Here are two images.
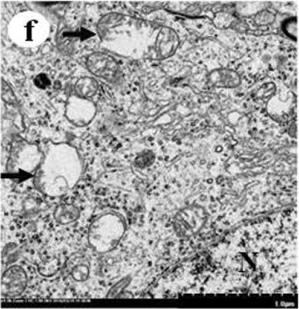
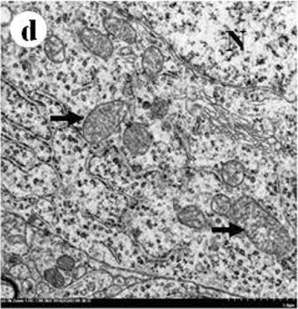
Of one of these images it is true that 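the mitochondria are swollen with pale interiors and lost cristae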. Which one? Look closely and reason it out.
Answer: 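First image: several mitochondria are round, enlarged and almost empty, with few remaining folds. Second image: mitochondria are compact with dense matrix and orderly parallel cristae.
Conclusion: the first image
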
